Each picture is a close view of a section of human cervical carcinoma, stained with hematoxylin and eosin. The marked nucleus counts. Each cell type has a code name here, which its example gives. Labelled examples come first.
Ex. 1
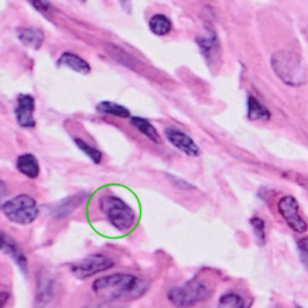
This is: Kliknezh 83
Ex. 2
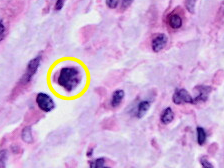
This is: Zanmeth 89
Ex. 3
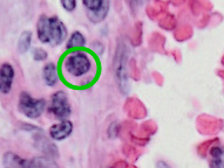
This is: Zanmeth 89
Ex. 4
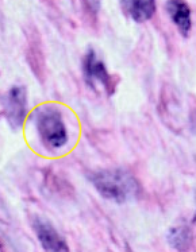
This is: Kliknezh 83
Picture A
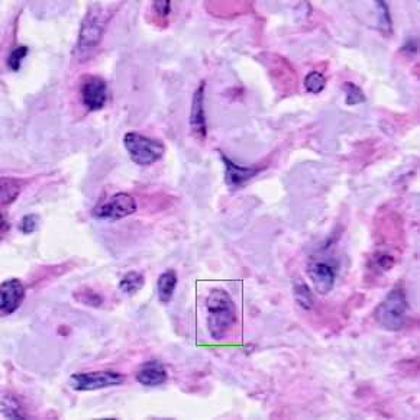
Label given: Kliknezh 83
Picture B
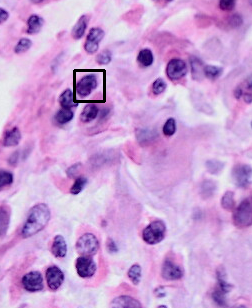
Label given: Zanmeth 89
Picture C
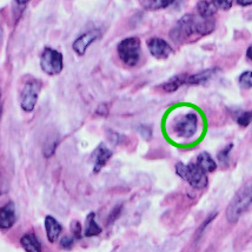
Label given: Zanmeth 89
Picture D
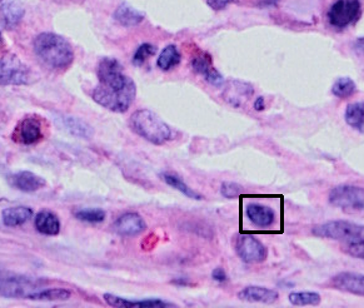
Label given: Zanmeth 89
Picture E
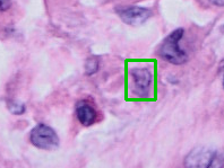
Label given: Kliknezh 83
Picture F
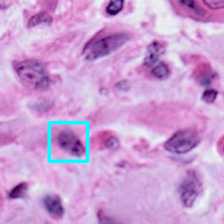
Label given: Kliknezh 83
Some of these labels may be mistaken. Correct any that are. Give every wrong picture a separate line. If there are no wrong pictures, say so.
Nothing to fix; every label fits.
